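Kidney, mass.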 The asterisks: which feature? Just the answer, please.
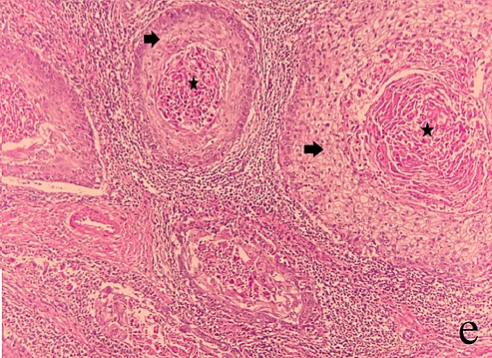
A: Keratin pearls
